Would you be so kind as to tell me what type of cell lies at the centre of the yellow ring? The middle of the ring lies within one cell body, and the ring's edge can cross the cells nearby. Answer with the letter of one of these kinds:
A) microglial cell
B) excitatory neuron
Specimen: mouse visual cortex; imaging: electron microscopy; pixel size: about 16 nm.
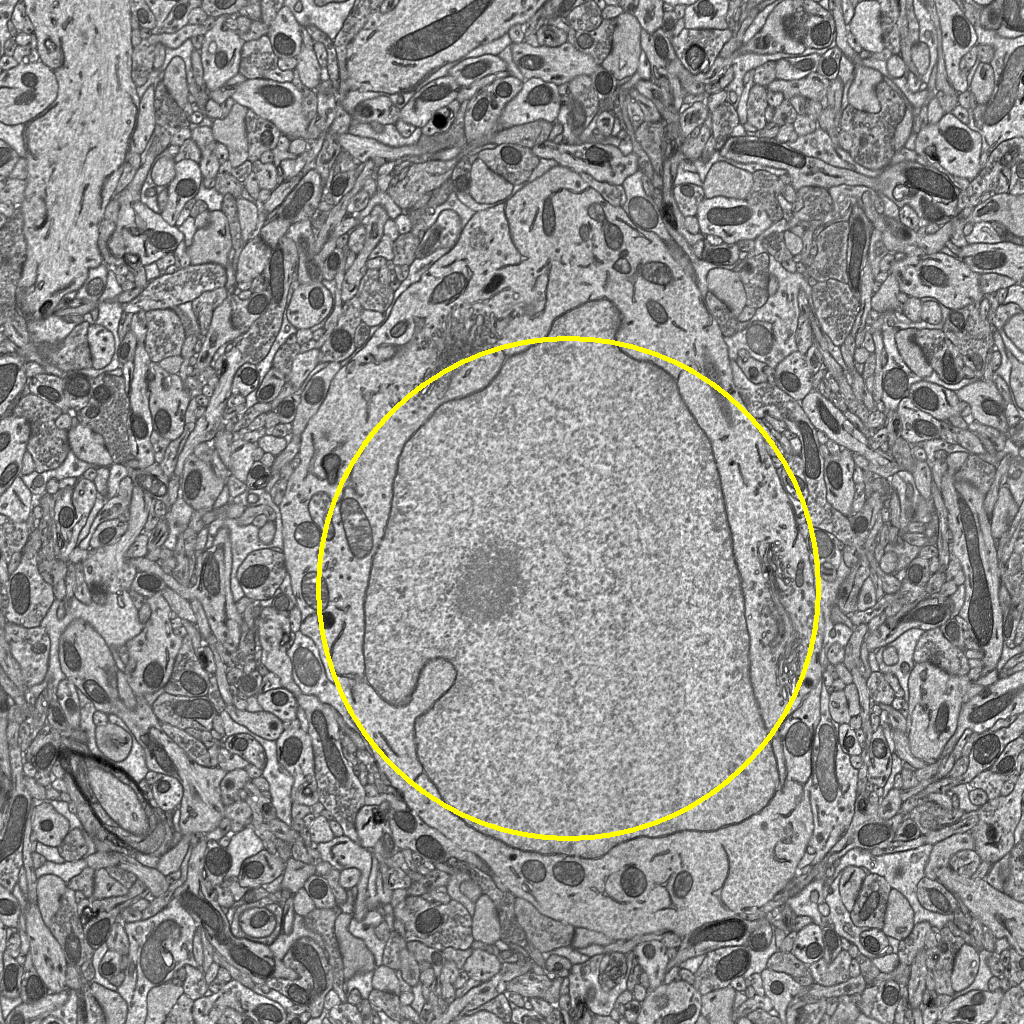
B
